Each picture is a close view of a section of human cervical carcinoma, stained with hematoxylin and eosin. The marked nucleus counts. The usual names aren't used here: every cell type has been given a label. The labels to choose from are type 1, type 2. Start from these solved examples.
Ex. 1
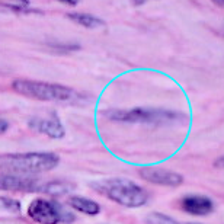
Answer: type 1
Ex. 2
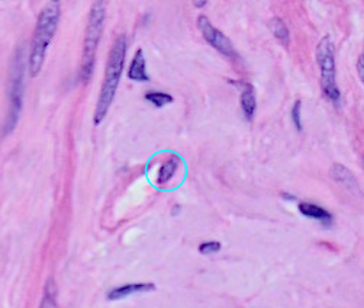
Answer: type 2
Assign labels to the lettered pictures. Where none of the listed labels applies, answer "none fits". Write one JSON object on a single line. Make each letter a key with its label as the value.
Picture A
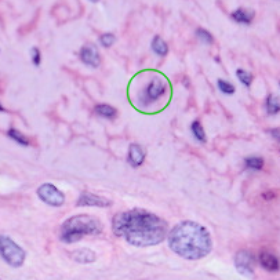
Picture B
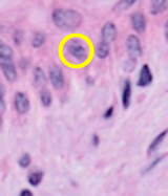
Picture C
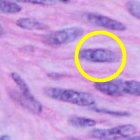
{"A": "none fits", "B": "none fits", "C": "none fits"}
